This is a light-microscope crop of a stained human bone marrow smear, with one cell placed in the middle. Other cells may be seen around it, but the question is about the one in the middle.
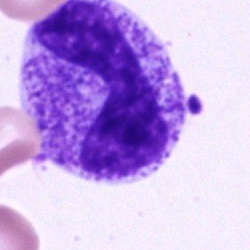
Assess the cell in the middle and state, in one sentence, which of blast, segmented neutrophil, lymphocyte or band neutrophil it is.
Within this crop, a band neutrophil occupies the central position.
